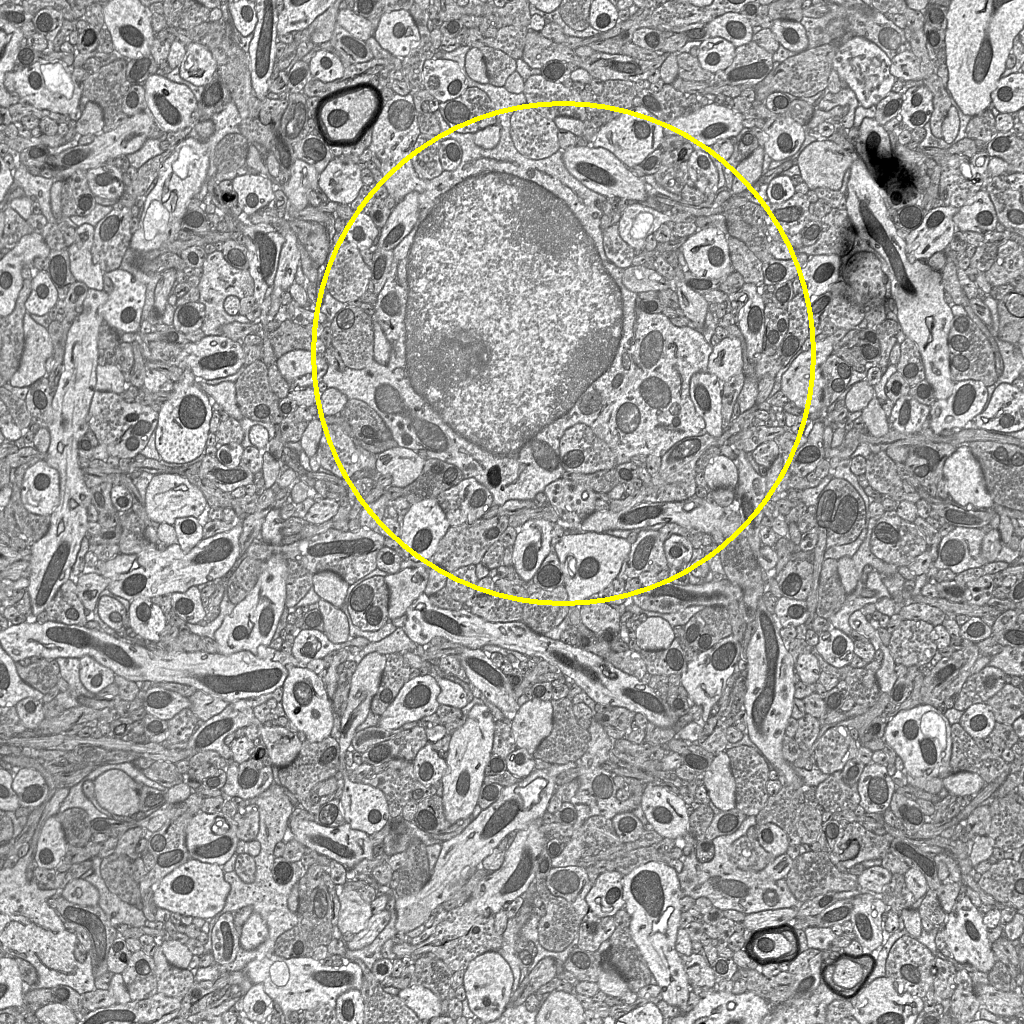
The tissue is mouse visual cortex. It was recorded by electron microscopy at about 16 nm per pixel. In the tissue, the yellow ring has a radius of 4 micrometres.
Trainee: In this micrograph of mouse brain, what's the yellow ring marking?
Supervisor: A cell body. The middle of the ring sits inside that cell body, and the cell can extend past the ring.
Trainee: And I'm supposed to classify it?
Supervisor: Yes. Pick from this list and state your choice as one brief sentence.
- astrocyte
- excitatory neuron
The cell at the ring's center is an astrocyte.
